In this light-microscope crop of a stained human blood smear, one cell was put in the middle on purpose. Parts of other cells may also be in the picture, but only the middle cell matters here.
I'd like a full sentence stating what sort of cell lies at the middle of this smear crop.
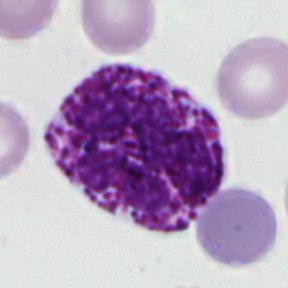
At the center of the crop sits a basophil.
